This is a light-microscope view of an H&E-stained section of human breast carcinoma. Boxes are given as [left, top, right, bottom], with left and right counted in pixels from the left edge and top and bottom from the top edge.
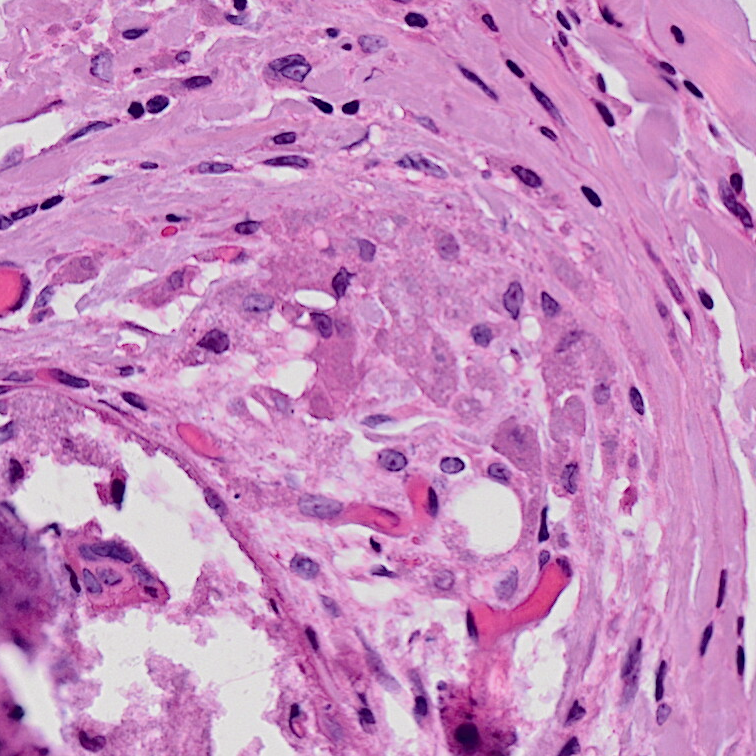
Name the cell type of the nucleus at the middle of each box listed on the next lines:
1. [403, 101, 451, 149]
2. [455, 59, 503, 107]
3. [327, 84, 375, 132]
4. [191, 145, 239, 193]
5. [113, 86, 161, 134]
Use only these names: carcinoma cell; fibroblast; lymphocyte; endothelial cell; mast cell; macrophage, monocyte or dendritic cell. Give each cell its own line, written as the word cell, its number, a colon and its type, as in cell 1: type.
cell 1: fibroblast
cell 2: fibroblast
cell 3: lymphocyte
cell 4: fibroblast
cell 5: lymphocyte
